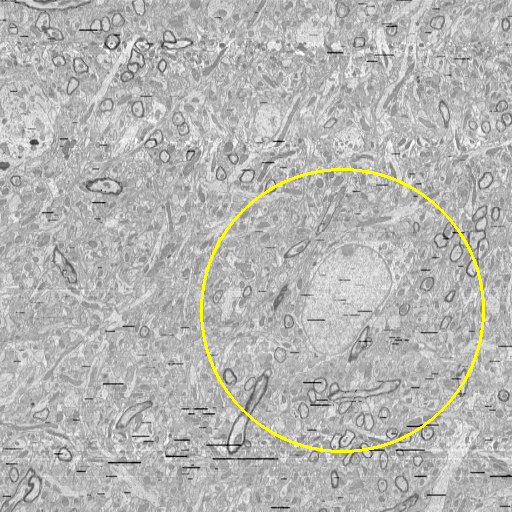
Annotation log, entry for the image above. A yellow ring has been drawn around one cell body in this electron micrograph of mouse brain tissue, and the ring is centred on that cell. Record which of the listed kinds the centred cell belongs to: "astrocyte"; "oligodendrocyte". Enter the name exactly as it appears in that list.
astrocyte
